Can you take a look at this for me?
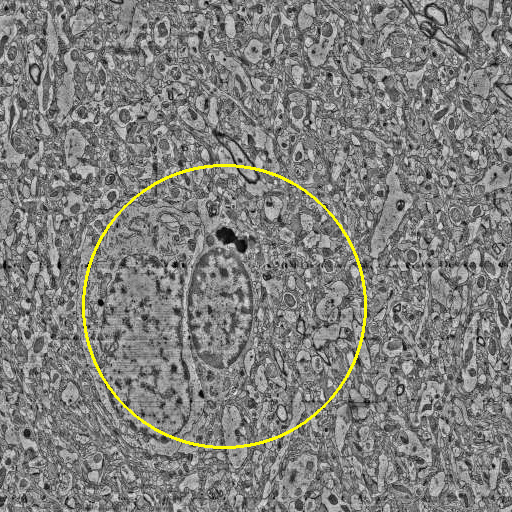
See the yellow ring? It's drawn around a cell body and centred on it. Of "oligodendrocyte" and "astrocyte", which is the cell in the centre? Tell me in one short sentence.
The one in the centre is an oligodendrocyte.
